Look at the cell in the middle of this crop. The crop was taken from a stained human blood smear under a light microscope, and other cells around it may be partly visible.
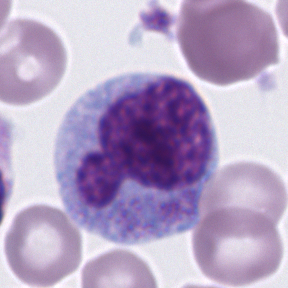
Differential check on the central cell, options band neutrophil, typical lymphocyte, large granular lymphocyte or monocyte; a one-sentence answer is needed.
As for the central cell, it is a monocyte.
